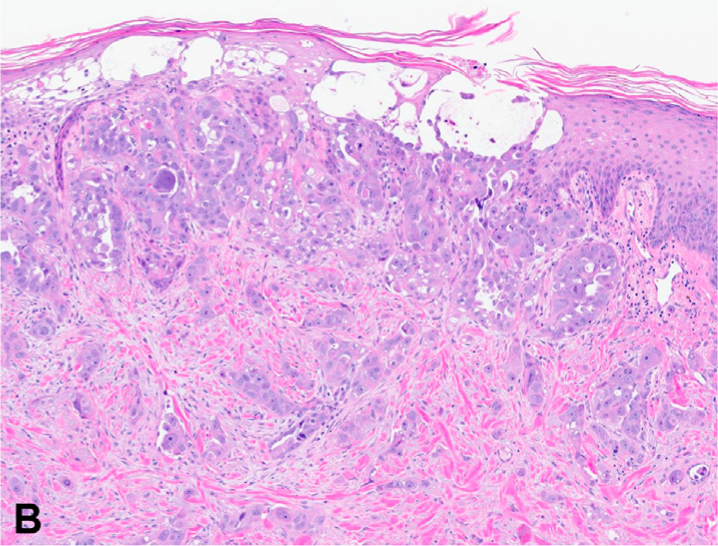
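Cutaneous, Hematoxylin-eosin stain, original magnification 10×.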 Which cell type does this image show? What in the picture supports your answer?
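Large polygonal cells with abundant pink-purple cytoplasm form nests and cords. The cells lie in cohesive groups within the pink dermal stroma. That points to this answer: epithelioid cells.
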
